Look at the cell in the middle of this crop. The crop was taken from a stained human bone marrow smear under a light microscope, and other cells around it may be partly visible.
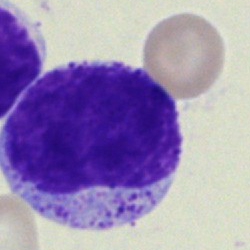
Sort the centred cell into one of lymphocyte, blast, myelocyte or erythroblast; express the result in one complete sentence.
The middle position in this crop is taken by a myelocyte.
